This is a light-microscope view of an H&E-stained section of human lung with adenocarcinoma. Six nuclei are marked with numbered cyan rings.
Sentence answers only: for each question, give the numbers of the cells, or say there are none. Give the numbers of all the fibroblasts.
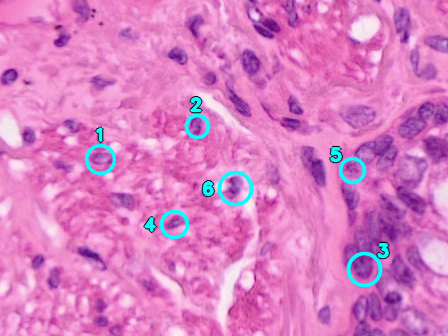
Nowhere among the numbered cells do fibroblasts occur.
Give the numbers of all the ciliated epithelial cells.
Cells 3 and 5 are ciliated epithelial cells by cell type.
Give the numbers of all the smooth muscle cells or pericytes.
The cells picked out by numbers 1, 2 and 4 are smooth muscle cells or pericytes.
